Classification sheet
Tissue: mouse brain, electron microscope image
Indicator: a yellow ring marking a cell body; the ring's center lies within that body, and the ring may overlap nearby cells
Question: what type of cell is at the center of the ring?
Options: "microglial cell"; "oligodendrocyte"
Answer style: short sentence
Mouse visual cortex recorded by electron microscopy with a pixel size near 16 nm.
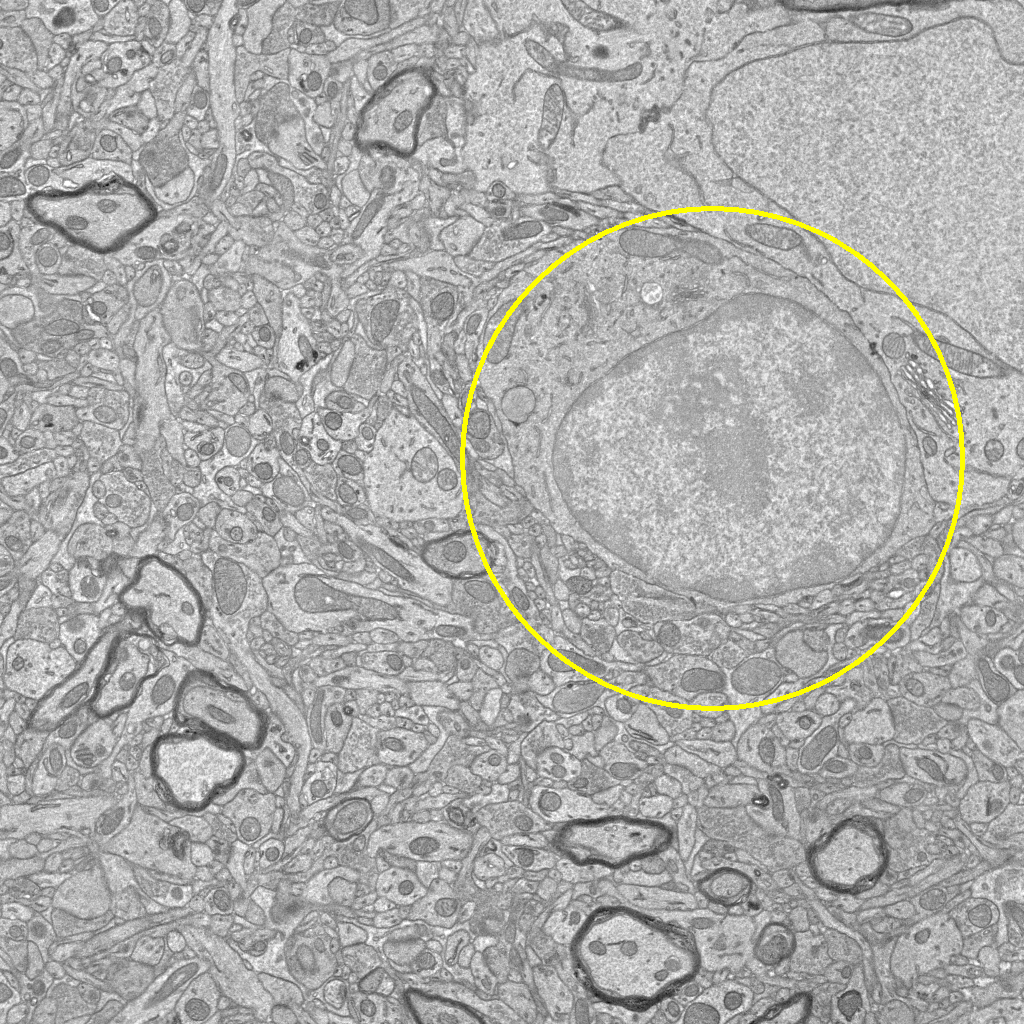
At the ring's center is an oligodendrocyte.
